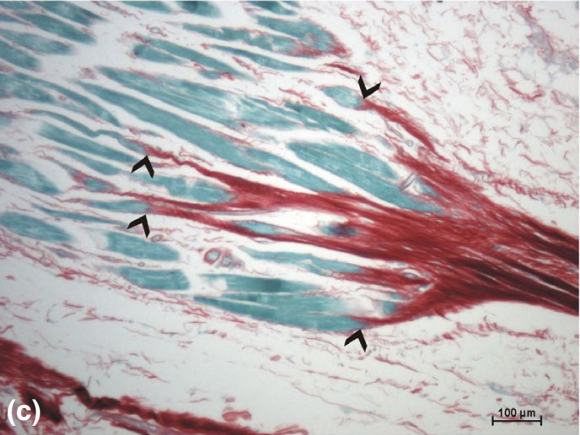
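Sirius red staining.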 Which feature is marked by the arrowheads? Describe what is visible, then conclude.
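Arrowheads sit at the tapered tips of green fibers. Red strands attach at those tips. So: endings of the individual muscle fibers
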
